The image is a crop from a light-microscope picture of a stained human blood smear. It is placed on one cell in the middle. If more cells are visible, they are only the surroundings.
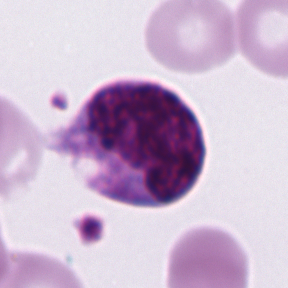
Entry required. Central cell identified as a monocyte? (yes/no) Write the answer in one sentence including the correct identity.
Yes, the cell lying in the centre of the crop is identified as a monocyte.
